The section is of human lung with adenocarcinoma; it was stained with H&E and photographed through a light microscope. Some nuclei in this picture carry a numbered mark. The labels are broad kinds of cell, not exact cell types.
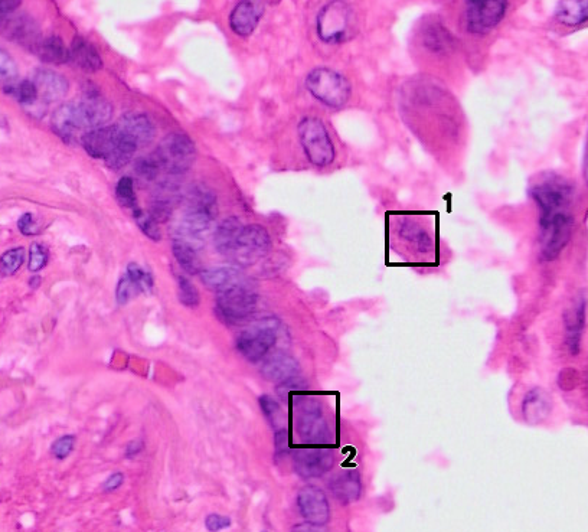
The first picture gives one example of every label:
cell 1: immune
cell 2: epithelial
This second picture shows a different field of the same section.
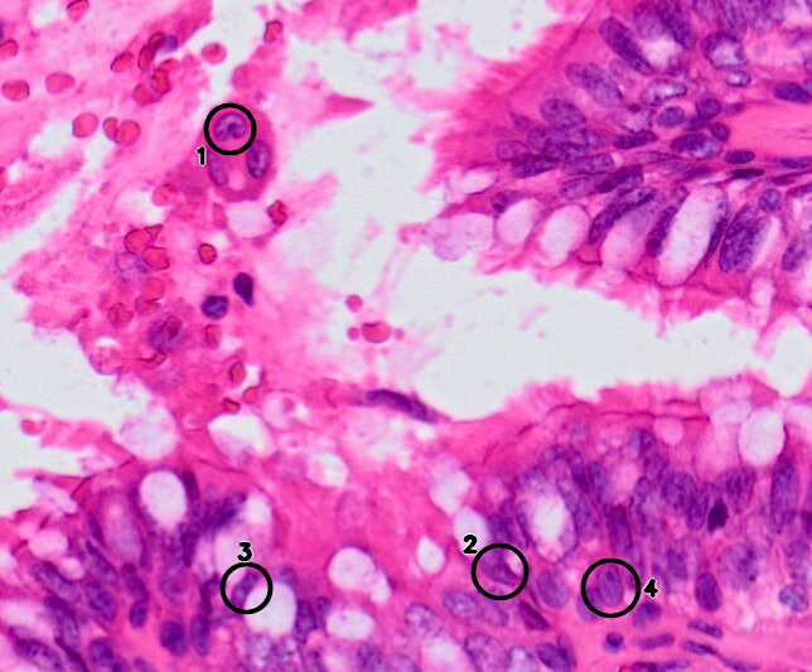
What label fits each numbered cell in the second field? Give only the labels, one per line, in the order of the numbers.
immune
epithelial
epithelial
epithelial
